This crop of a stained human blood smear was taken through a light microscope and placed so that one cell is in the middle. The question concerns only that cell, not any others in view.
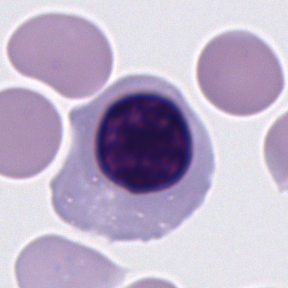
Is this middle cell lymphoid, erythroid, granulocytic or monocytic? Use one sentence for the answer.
The central cell of this crop is a member of the erythroid line of development.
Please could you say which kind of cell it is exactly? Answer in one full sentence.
The middle cell in this particular crop is a normoblast.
